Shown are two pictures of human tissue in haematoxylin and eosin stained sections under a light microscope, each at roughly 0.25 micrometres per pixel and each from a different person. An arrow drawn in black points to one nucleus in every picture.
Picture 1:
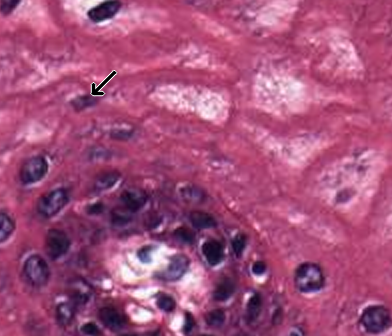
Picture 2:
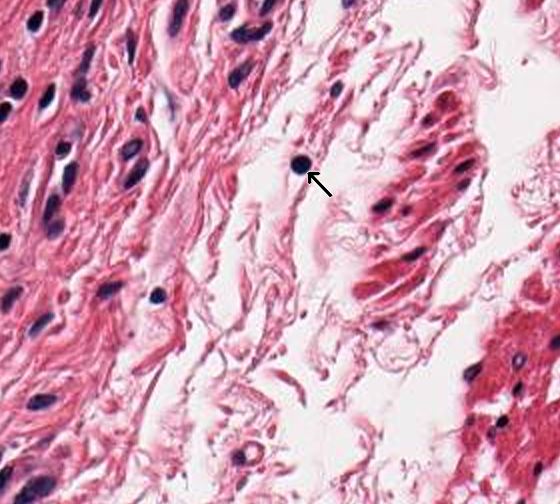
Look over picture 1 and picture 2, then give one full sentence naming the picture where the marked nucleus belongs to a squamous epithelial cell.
The marked nucleus in picture 1 is the nucleus of a squamous epithelial cell.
